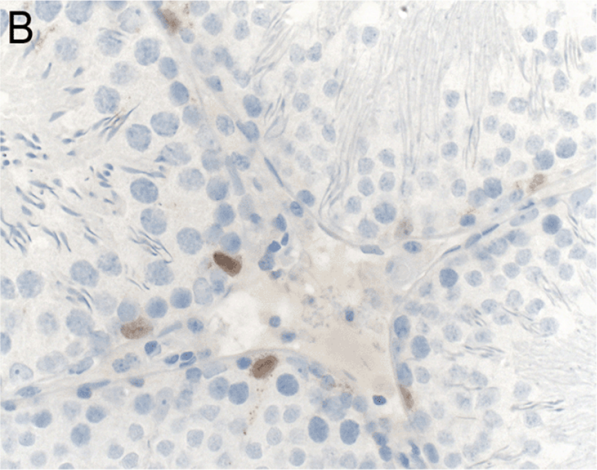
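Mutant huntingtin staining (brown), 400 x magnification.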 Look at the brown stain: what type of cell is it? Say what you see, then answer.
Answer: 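Sertoli cells. Only a few scattered nuclei are stained brown. The brown nuclei lie at the outer edge of the tubules, near the basement membrane. The brown nuclei are oval to elongated, unlike the round blue germ cell nuclei.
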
